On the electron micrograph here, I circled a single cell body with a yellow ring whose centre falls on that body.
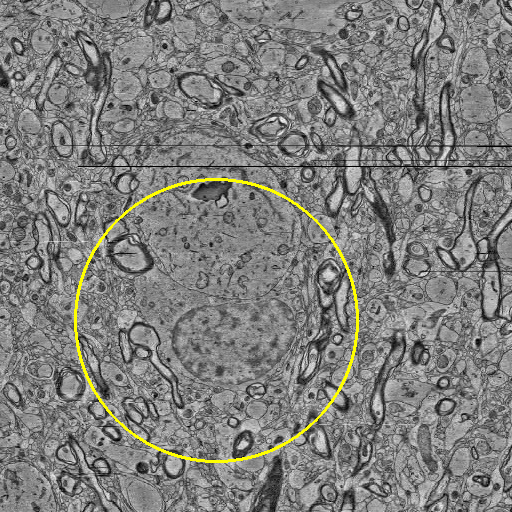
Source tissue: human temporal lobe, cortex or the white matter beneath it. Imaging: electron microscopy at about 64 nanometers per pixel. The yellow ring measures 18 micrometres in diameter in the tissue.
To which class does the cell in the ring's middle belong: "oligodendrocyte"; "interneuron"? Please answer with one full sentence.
In this picture, the cell body circled at the ring's centre belongs to an oligodendrocyte.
